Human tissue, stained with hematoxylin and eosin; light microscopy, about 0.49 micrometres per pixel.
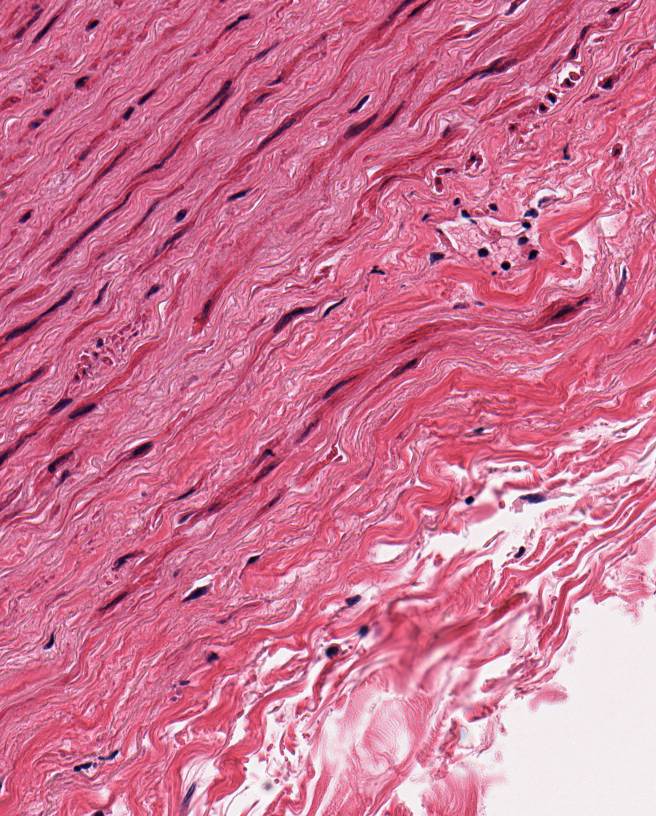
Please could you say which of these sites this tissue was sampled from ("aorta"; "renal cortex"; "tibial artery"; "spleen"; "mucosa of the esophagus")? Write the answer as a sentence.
The site this tissue was sampled from is the aorta.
